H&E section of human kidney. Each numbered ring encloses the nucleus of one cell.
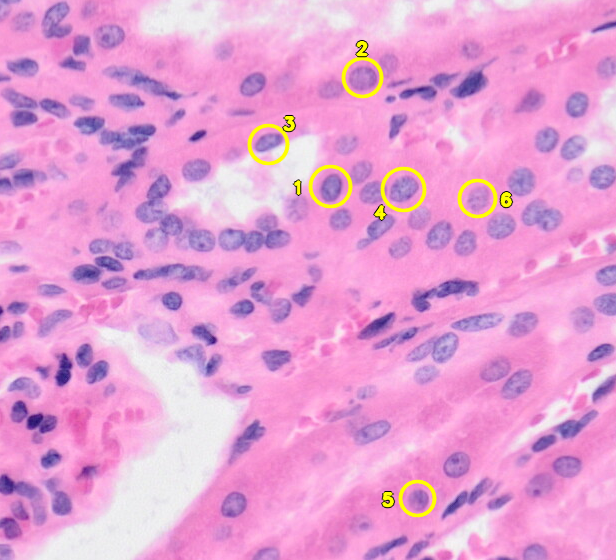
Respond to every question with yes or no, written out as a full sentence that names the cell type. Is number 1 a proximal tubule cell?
No, cell 1 does not count as a proximal tubule cell; it is a loop of Henle or distal tubule cell.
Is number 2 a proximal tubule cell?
Yes, a proximal tubule cell is what the cell numbered 2 is.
